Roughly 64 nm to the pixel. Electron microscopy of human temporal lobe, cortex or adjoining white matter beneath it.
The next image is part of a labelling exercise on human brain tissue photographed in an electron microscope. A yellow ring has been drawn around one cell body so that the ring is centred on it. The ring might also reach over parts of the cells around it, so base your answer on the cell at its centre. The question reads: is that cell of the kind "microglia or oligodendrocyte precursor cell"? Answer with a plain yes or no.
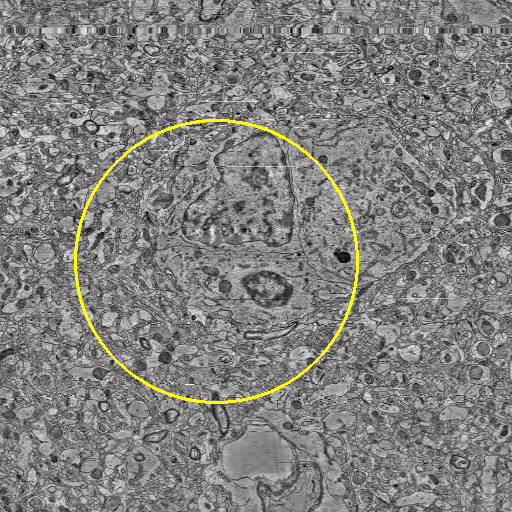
yes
